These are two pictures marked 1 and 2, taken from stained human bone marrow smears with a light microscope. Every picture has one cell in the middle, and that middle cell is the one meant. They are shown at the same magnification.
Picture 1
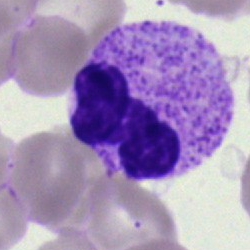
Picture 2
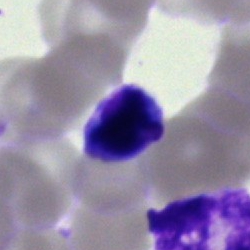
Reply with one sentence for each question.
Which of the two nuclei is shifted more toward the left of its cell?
In picture 1 the nucleus is shifted more toward the left.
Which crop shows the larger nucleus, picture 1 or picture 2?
The nucleus in picture 1 is larger, with about 2.5 times the area of the one in picture 2.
